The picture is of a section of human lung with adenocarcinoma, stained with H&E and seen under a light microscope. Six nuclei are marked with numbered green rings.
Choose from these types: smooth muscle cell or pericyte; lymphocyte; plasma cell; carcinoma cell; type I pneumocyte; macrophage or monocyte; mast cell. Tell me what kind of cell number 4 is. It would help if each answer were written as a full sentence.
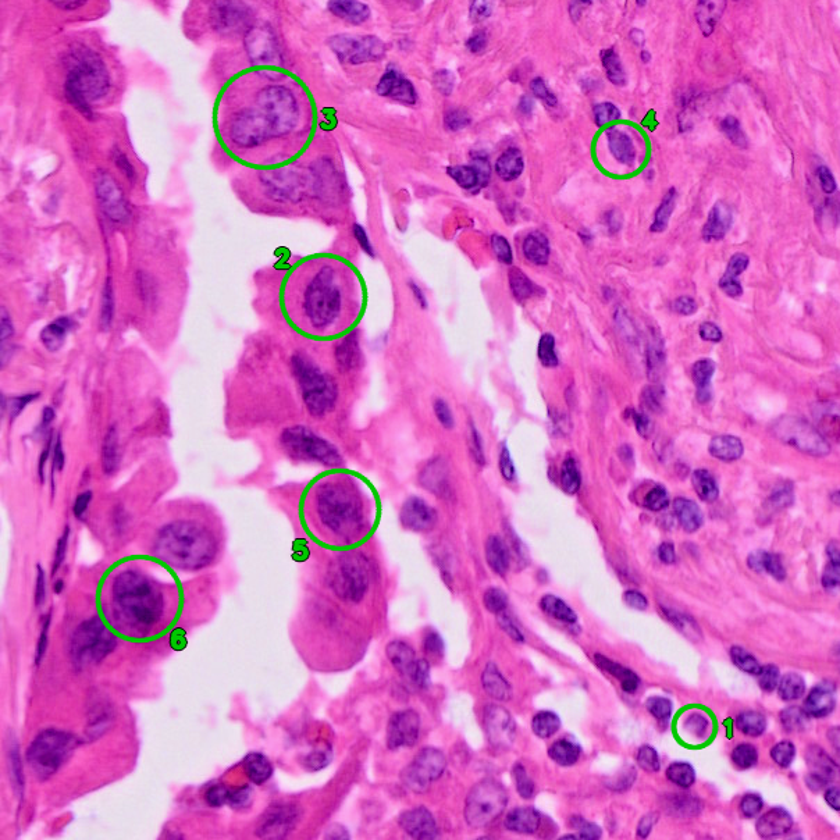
The correct label for cell 4 is a lymphocyte.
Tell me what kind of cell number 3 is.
The cell tagged with 3 in this tissue section is a carcinoma cell.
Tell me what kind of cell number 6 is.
The cell that carries the label 6 is a carcinoma cell.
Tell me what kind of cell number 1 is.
Cell 1, as marked in the section, is a lymphocyte.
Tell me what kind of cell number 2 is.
In this section, number 2 marks a carcinoma cell.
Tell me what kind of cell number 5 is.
Denoted by the label 5 in the section is a carcinoma cell.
